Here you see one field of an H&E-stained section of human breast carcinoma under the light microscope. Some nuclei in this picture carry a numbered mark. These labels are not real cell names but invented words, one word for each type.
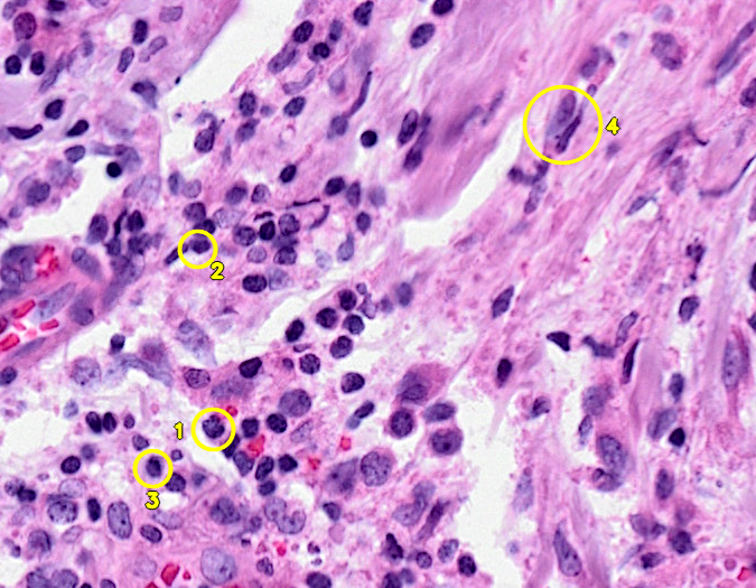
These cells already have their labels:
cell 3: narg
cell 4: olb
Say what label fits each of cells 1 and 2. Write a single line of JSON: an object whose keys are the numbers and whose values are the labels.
{"1": "narg", "2": "narg"}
